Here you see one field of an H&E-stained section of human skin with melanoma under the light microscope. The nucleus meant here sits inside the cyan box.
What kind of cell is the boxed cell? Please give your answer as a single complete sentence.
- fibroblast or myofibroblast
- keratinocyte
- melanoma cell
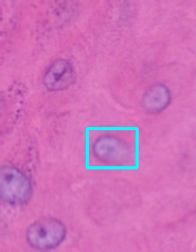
In cell-type terms, the boxed cell is a keratinocyte.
